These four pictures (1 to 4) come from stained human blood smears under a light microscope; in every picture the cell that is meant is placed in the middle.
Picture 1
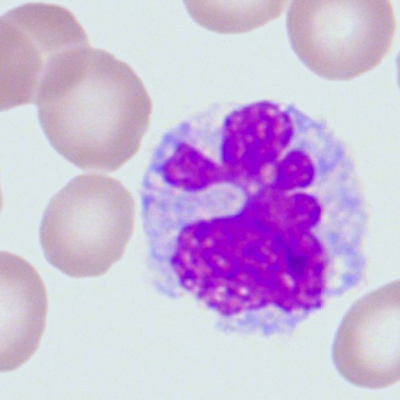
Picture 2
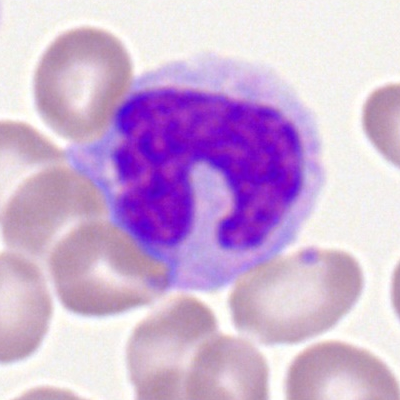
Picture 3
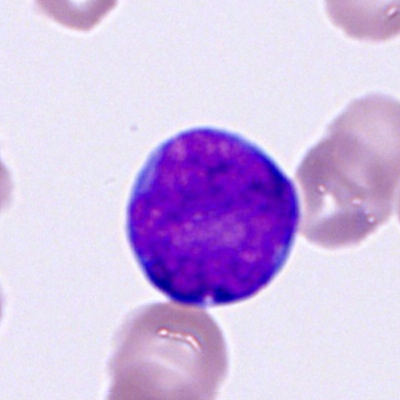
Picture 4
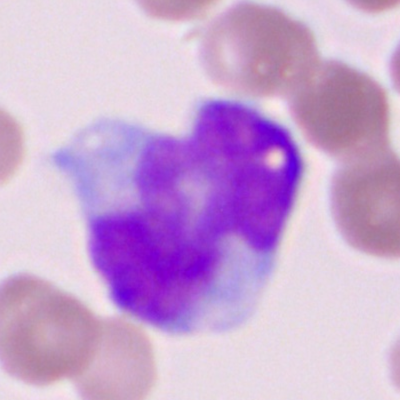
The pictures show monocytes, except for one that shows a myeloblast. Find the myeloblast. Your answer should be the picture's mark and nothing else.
3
